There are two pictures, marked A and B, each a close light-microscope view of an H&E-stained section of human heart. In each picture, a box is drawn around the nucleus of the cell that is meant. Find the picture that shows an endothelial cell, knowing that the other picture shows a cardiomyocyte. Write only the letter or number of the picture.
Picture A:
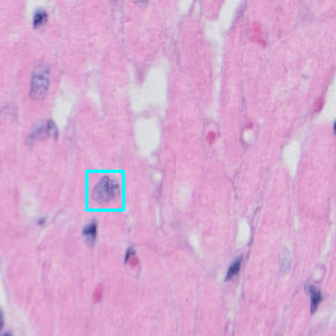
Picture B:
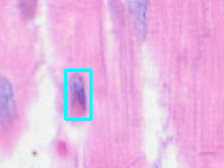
B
